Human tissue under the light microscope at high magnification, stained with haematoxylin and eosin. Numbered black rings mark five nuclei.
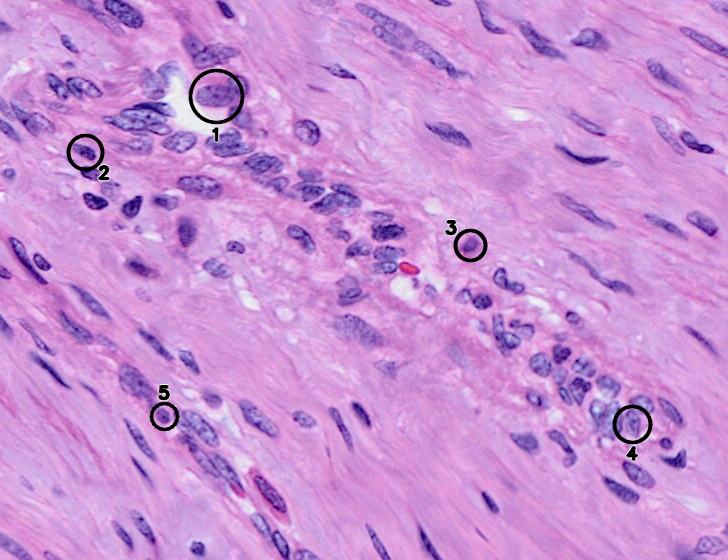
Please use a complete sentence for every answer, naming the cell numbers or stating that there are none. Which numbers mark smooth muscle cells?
Among the cells marked with numbers, the only one that is a smooth muscle cell is number 3.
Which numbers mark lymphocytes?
Cell 2 is the single numbered cell that is a lymphocyte.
